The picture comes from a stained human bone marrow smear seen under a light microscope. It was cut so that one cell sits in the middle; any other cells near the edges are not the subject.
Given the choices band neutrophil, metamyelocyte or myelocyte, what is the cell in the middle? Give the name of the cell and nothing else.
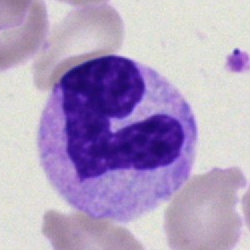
band neutrophil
